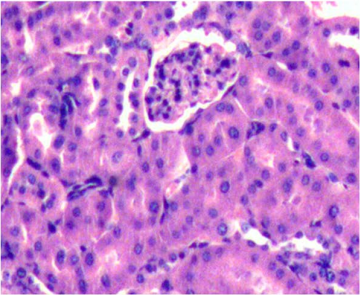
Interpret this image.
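This is kidney cortex, with a glomerulus near the top and tubules packed closely all around it. The glomerulus is a compact tuft of capillaries with many dark purple nuclei, set within a thin capsule and separated from it by a narrow clear space. The tubules are lined by plump cuboidal cells with evenly pink cytoplasm and round, central purple nuclei, and their lumens are small. The tubules lie tightly side by side with very little tissue between them.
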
